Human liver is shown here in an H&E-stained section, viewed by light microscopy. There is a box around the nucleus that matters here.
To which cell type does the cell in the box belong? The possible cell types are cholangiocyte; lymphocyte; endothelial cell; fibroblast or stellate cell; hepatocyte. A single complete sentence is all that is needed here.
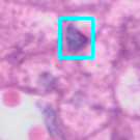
Among the cells in this section, the cell in the box is an endothelial cell.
